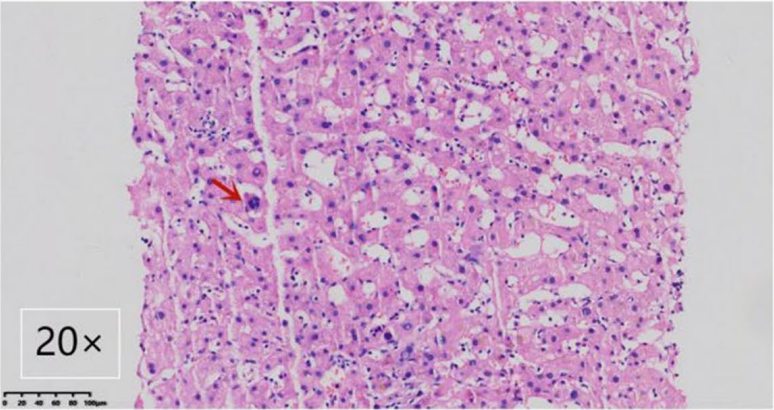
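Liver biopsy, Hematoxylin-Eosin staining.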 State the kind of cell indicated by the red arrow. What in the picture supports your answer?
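The marked cell has a large, dark, irregular nucleus bigger than those of the hepatocytes around it.
Conclusion: megakaryocyte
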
